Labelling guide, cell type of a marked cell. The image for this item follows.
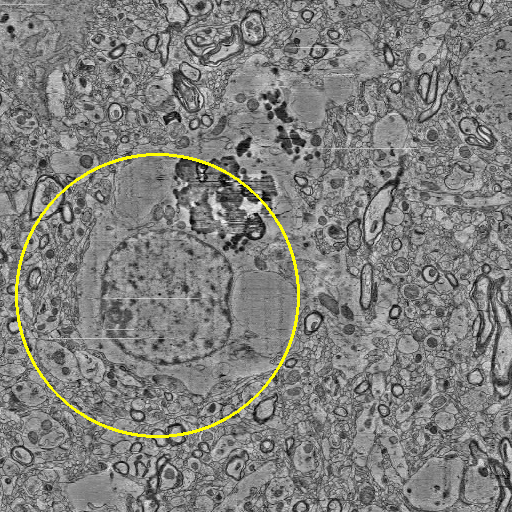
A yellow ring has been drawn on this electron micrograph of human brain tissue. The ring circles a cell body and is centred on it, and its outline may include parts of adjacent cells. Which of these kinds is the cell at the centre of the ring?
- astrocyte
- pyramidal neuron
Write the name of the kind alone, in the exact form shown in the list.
astrocyte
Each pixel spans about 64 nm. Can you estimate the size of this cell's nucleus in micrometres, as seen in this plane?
In this plane the nucleus measures roughly 9 micrometres across.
